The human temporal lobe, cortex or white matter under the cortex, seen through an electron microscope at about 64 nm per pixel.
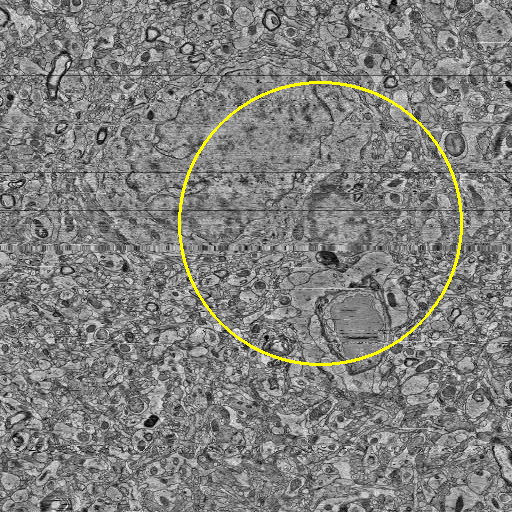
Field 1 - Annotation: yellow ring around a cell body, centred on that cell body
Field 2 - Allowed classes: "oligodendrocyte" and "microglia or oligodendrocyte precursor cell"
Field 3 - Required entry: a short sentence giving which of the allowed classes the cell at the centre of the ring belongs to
The centred cell is an oligodendrocyte.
